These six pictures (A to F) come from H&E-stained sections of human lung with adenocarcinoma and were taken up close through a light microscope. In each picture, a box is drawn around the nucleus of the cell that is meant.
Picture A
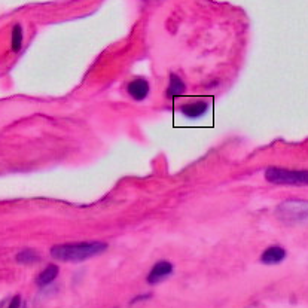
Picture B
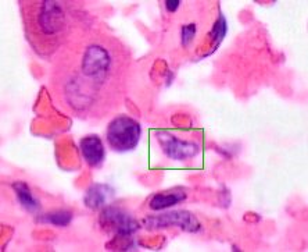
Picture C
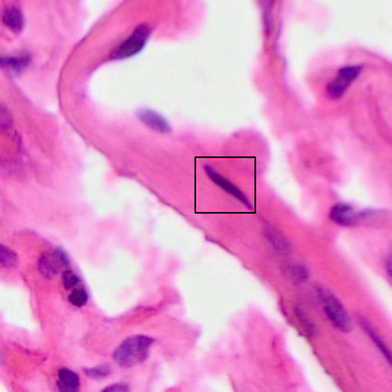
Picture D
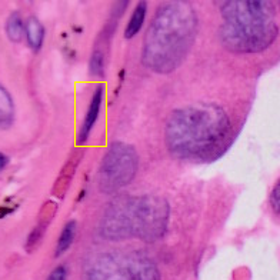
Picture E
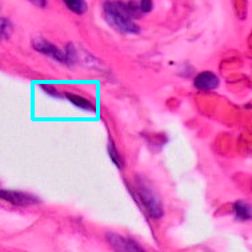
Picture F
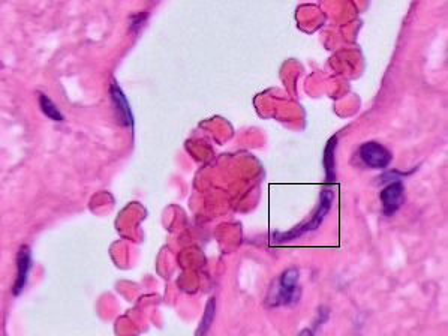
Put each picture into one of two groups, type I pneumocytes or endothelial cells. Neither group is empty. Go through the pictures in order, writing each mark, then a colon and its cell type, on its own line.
A: type I pneumocyte
B: type I pneumocyte
C: endothelial cell
D: endothelial cell
E: endothelial cell
F: endothelial cell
